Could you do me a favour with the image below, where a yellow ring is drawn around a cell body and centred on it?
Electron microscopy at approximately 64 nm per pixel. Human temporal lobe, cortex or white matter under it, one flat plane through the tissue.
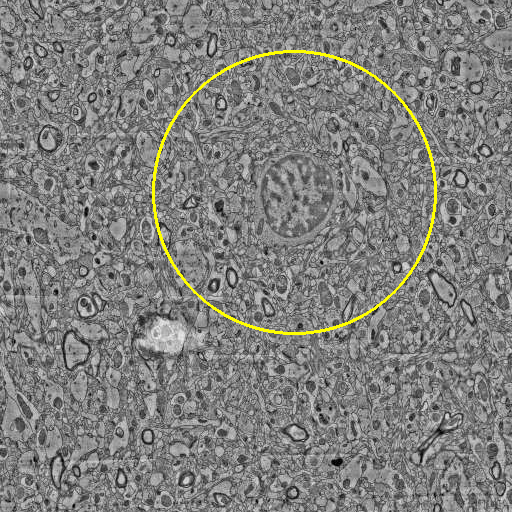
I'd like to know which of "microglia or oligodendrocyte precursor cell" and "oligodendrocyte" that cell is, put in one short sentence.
The cell at the ring's centre is an oligodendrocyte.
